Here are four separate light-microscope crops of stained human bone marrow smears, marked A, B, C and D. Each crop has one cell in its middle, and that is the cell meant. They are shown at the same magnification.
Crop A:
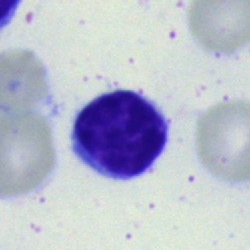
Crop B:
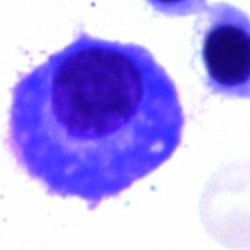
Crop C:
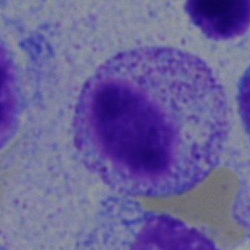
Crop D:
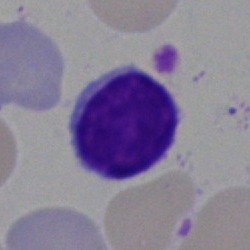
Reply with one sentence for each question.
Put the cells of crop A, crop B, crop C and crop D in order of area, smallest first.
From the smallest up, the order is A, D, C, B.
